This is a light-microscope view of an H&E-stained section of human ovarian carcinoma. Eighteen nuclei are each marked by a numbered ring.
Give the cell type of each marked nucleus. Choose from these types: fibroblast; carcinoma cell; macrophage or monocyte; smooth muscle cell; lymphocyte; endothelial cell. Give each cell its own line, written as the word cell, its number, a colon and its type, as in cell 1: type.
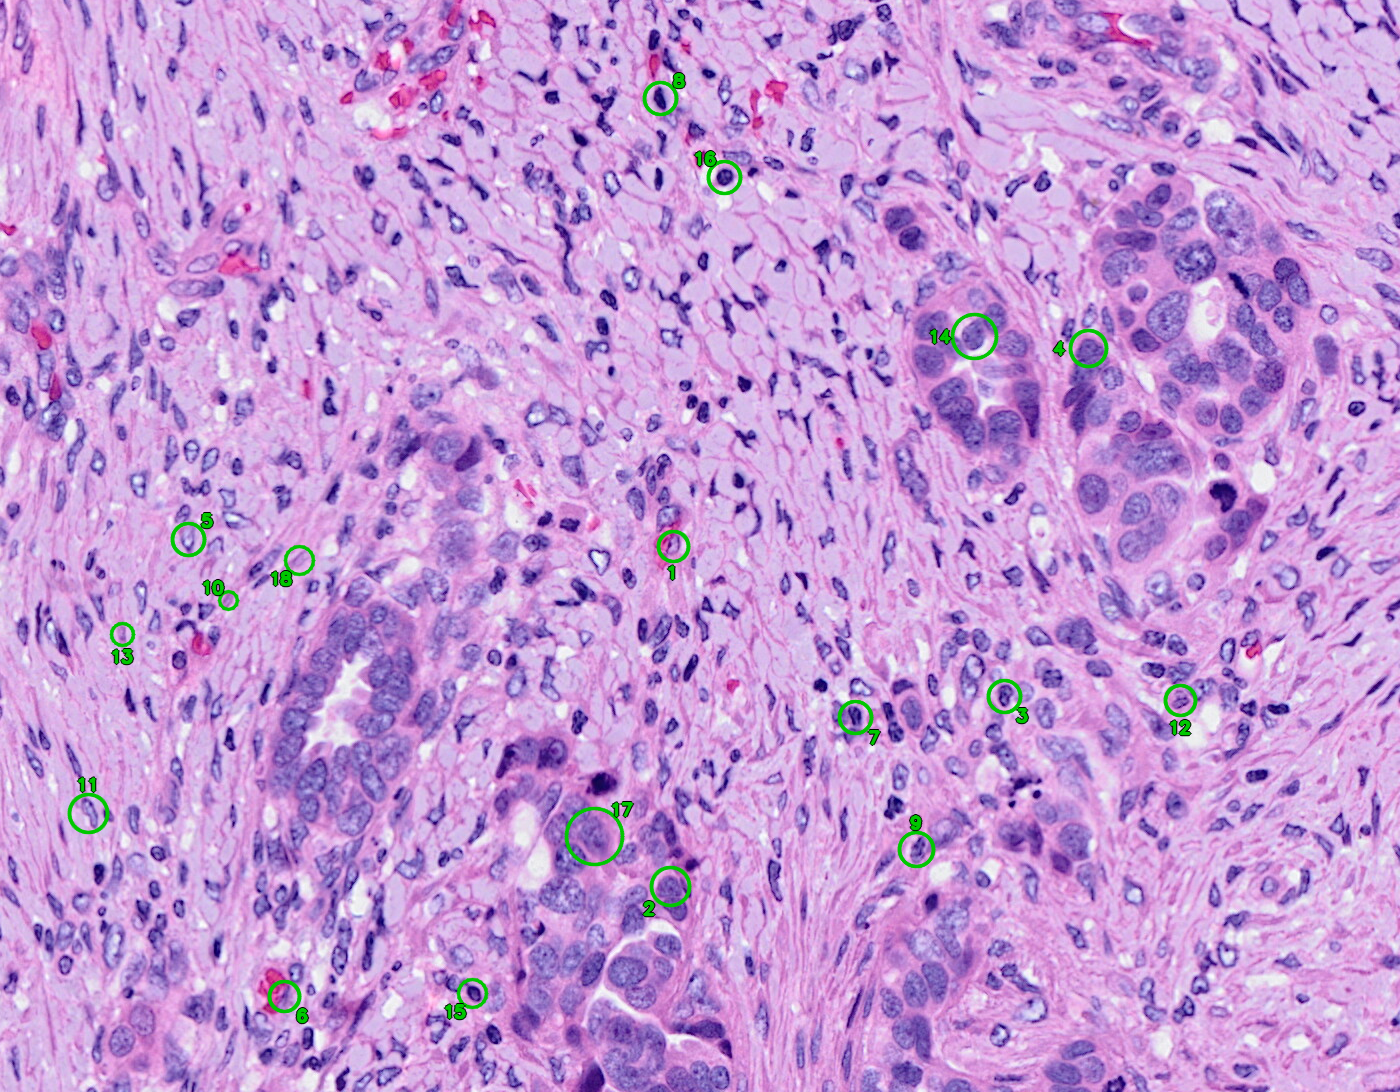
cell 1: endothelial cell
cell 2: carcinoma cell
cell 3: lymphocyte
cell 4: carcinoma cell
cell 5: fibroblast
cell 6: endothelial cell
cell 7: lymphocyte
cell 8: lymphocyte
cell 9: lymphocyte
cell 10: fibroblast
cell 11: fibroblast
cell 12: endothelial cell
cell 13: fibroblast
cell 14: carcinoma cell
cell 15: lymphocyte
cell 16: lymphocyte
cell 17: carcinoma cell
cell 18: fibroblast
